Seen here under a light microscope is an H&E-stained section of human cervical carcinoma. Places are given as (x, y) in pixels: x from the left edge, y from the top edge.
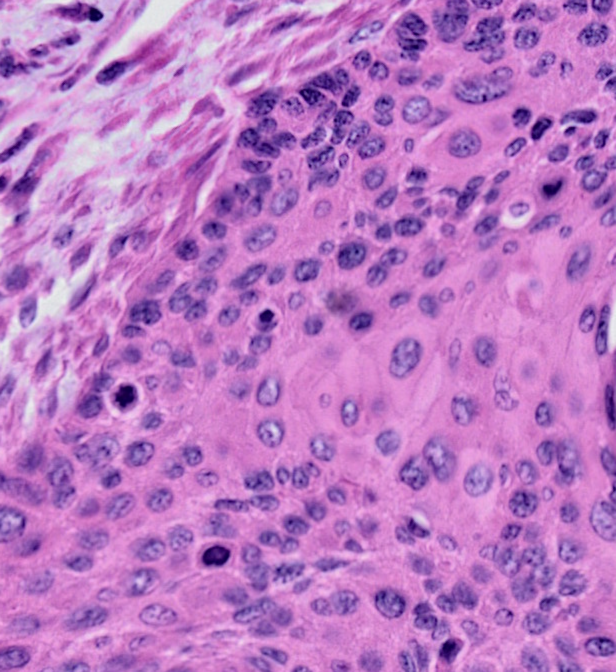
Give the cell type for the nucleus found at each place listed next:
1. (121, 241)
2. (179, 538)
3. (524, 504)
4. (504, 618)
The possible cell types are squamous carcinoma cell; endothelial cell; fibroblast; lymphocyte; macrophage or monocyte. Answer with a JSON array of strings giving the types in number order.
["fibroblast", "squamous carcinoma cell", "squamous carcinoma cell", "squamous carcinoma cell"]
